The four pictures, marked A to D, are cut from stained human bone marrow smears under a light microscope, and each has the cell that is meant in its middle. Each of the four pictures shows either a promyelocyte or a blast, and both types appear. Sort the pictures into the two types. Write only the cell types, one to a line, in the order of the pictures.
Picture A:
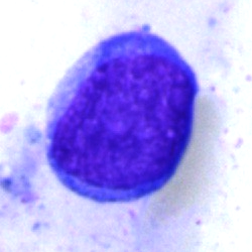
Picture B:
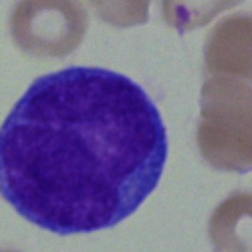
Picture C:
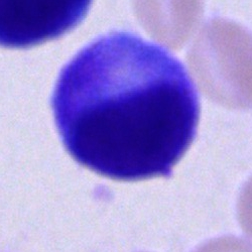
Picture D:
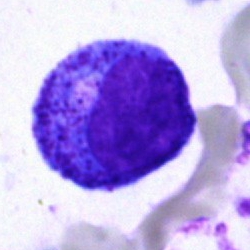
blast
blast
promyelocyte
promyelocyte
